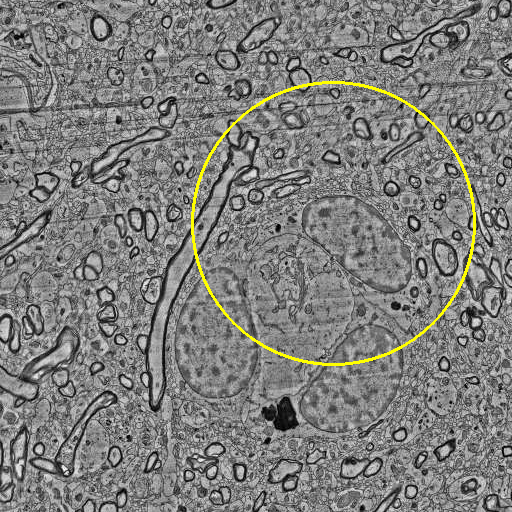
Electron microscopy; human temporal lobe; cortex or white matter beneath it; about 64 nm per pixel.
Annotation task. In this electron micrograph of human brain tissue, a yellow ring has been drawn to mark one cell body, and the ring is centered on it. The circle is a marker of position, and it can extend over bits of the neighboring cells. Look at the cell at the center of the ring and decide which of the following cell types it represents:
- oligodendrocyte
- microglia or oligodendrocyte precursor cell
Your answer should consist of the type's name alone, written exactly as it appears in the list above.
microglia or oligodendrocyte precursor cell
